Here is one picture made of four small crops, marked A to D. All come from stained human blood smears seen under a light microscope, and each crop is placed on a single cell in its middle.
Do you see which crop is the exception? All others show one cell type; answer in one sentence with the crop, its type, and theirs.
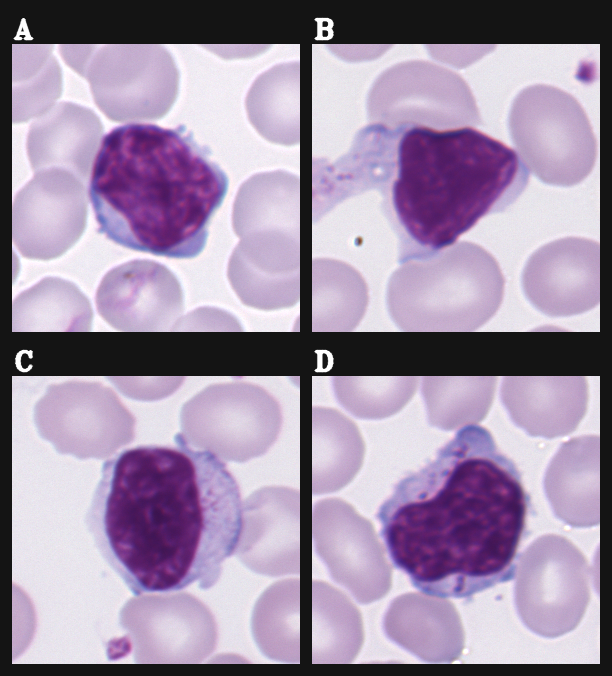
What sets crop A apart is that it shows a typical lymphocyte, while the others show large granular lymphocytes.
